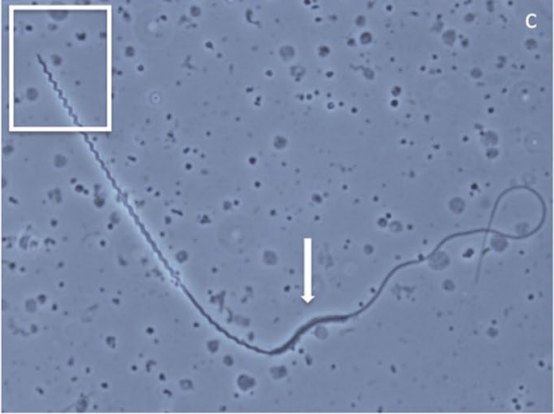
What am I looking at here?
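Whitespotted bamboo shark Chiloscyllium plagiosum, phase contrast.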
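Following the cell down, the coiling gives way to a smoother, somewhat thicker midpiece that curves across the field. Where the midpiece meets the tail there is a short, swollen, darker segment, a sleeve of cytoplasm still clinging to the cell. Scattered round droplets and debris lie in the background.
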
